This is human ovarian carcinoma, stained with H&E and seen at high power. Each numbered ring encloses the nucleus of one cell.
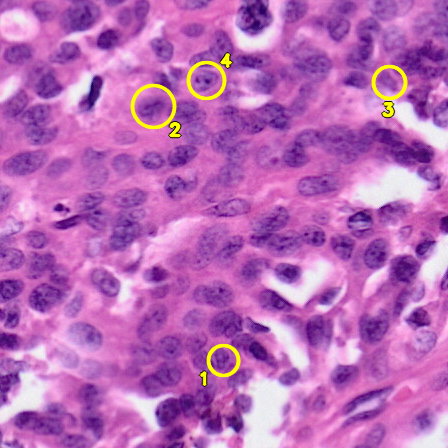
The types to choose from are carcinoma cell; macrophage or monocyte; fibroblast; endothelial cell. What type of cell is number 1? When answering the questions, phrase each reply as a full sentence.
The cell numbered 1 has been identified as a carcinoma cell.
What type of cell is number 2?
The cell with the number 2 is a carcinoma cell.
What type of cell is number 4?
The cell indicated by marker 4 is a macrophage or monocyte in this section.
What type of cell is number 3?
Cell 3, among those numbered, is a carcinoma cell.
